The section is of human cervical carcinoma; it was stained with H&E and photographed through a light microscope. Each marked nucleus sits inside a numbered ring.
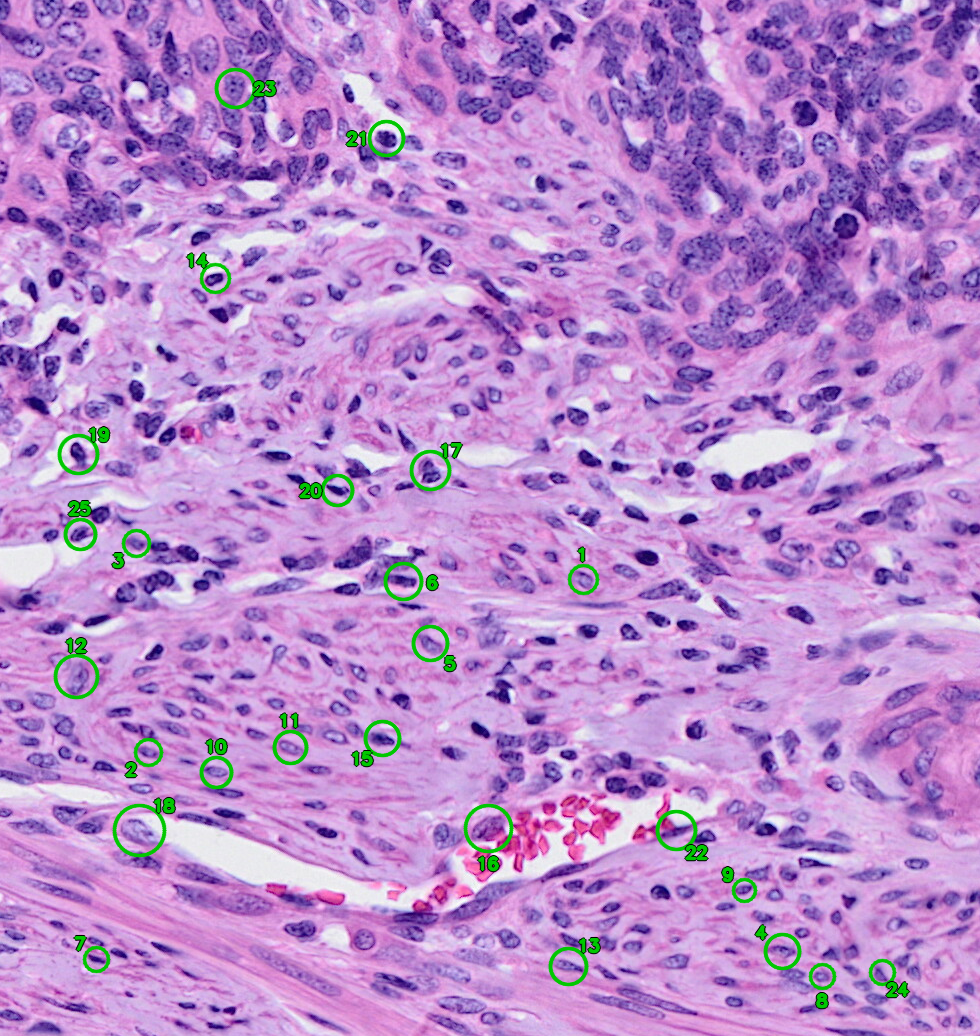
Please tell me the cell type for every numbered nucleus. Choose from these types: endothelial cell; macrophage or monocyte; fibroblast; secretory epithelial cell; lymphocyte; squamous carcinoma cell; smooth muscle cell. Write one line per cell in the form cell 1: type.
cell 1: smooth muscle cell
cell 2: smooth muscle cell
cell 3: lymphocyte
cell 4: smooth muscle cell
cell 5: smooth muscle cell
cell 6: lymphocyte
cell 7: smooth muscle cell
cell 8: smooth muscle cell
cell 9: smooth muscle cell
cell 10: smooth muscle cell
cell 11: smooth muscle cell
cell 12: smooth muscle cell
cell 13: smooth muscle cell
cell 14: lymphocyte
cell 15: lymphocyte
cell 16: endothelial cell
cell 17: lymphocyte
cell 18: endothelial cell
cell 19: lymphocyte
cell 20: lymphocyte
cell 21: lymphocyte
cell 22: endothelial cell
cell 23: squamous carcinoma cell
cell 24: smooth muscle cell
cell 25: lymphocyte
